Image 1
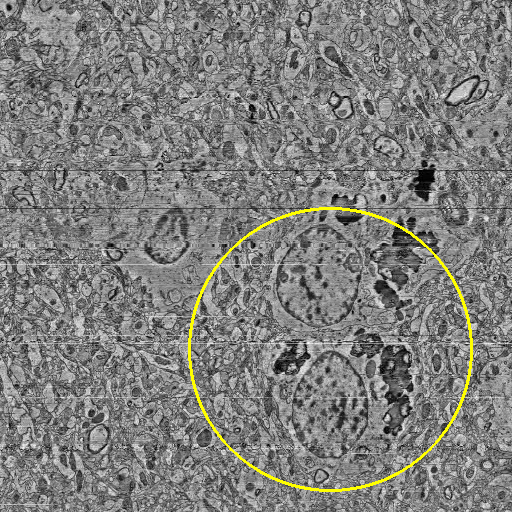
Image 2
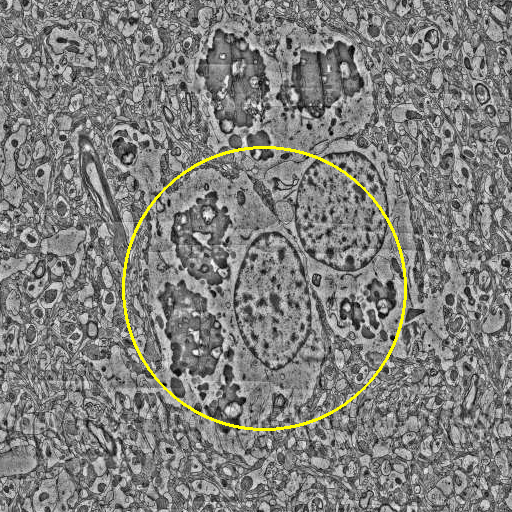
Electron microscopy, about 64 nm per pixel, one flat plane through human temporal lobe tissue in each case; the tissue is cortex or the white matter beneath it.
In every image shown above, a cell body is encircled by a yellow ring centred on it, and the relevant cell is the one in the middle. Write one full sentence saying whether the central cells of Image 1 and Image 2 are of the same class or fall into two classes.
The cell at the ring's centre in Image 1 and its counterpart in Image 2 are of the same class.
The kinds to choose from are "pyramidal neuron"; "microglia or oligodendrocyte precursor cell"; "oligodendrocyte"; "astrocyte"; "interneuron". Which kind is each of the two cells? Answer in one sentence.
In each picture the ringed cell is an astrocyte.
